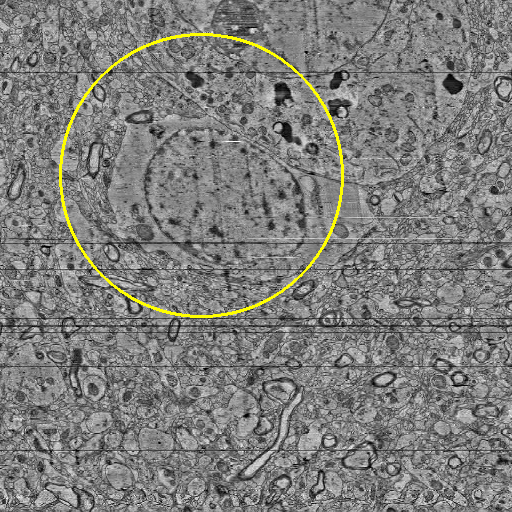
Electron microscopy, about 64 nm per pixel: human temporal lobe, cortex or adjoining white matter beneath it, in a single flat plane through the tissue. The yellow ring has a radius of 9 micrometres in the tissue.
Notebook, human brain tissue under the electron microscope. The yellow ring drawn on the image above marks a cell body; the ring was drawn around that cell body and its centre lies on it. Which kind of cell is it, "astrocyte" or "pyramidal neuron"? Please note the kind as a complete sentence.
The marked cell body is that of an astrocyte.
